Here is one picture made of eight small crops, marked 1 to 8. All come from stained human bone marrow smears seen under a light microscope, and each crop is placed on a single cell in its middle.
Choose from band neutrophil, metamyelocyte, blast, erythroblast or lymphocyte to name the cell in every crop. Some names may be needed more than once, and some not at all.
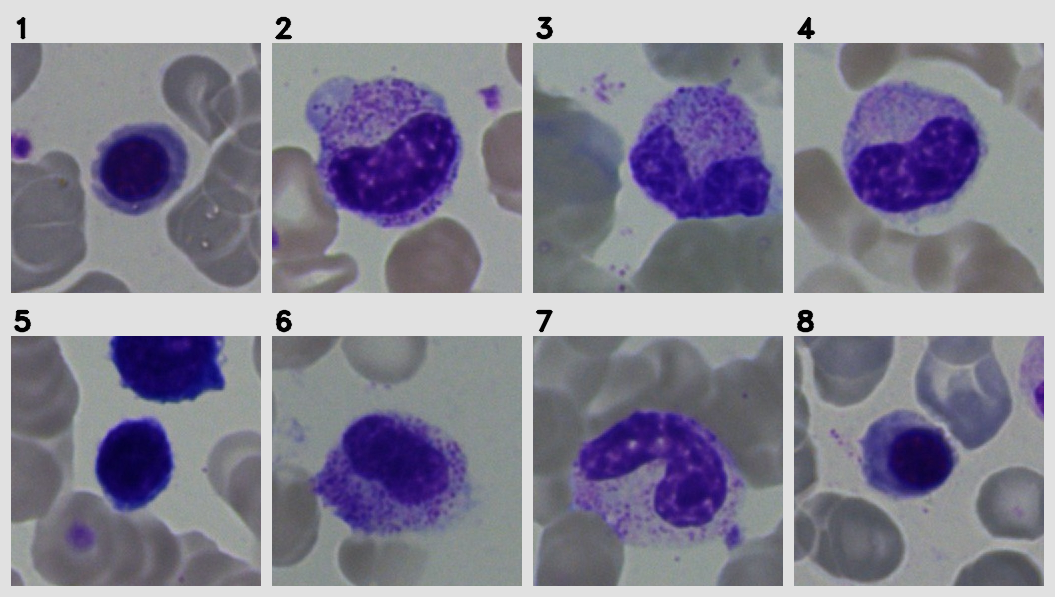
1: erythroblast
2: metamyelocyte
3: band neutrophil
4: metamyelocyte
5: lymphocyte
6: metamyelocyte
7: band neutrophil
8: erythroblast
